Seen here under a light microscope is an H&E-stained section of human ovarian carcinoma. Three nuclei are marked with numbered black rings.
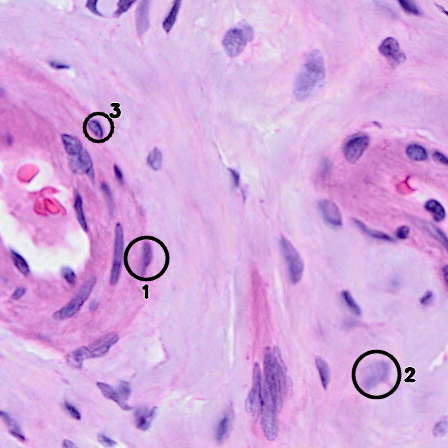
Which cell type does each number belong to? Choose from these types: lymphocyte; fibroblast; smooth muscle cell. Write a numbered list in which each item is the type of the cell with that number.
1. smooth muscle cell
2. fibroblast
3. smooth muscle cell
